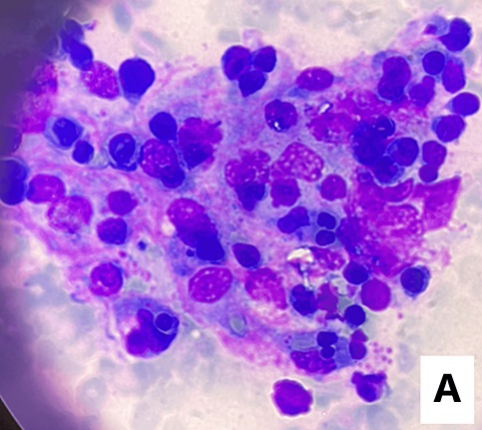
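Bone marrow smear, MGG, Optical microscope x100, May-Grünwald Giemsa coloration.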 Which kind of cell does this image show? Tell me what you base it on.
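Hemophagocytic cells. A broad mass of pale purple cytoplasm holds many smaller cells.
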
